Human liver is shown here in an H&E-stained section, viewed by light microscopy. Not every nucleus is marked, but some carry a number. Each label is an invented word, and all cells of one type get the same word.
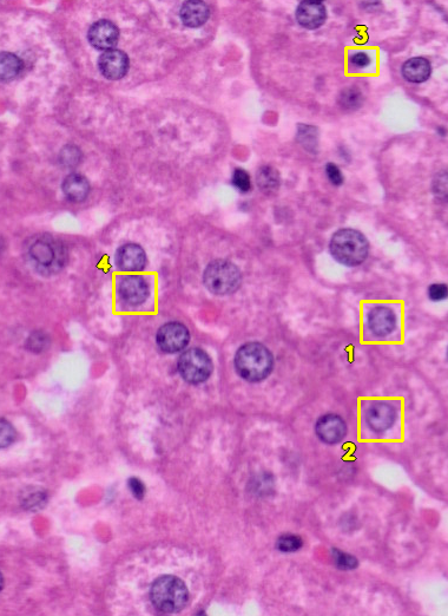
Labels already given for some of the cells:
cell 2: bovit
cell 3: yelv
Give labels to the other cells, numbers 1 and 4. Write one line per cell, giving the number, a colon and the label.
1: bovit
4: bovit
